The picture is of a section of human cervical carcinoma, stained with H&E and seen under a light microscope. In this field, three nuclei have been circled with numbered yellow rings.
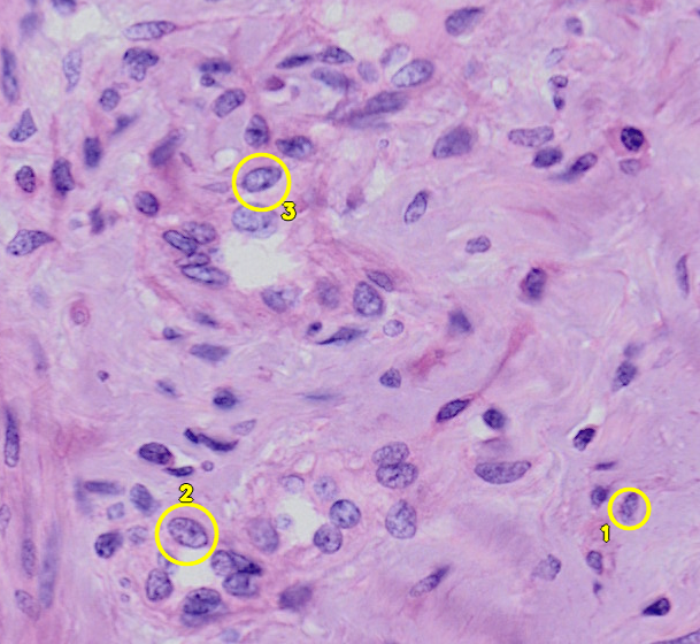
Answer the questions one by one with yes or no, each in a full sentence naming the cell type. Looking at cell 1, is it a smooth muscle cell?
Yes, the one with the number 1 is a smooth muscle cell.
